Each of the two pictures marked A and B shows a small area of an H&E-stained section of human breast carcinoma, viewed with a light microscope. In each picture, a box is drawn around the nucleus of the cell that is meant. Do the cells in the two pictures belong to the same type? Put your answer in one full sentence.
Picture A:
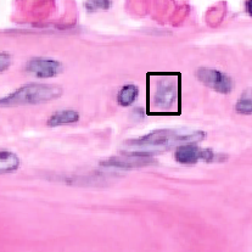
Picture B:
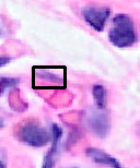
Yes; the cells in both pictures are endothelial cells.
